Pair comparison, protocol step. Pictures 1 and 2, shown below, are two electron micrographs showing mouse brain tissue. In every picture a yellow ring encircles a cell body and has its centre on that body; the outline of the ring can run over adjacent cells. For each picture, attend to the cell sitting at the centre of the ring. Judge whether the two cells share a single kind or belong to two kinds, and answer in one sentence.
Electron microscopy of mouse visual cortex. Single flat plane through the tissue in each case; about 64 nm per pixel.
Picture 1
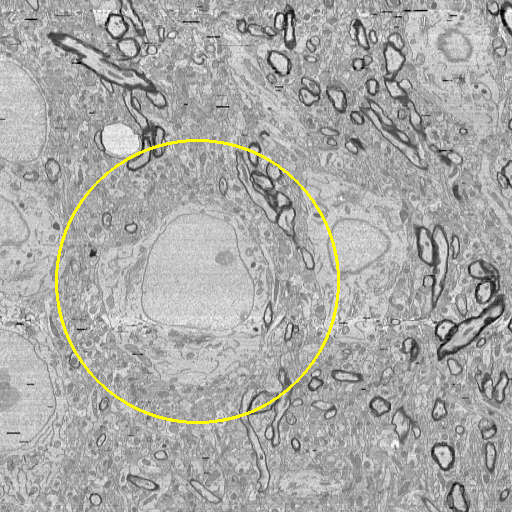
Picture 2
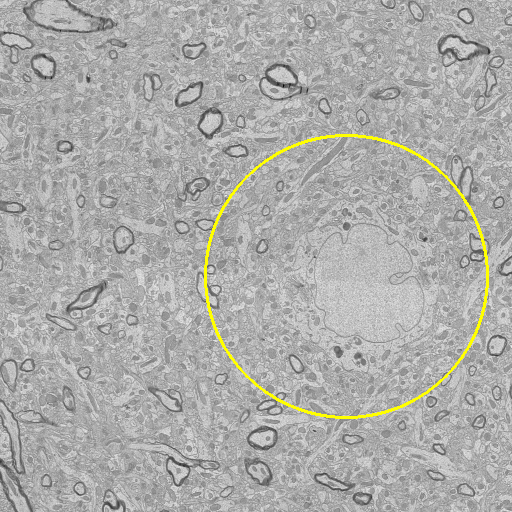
The two cells at the ring centres in Picture 1 and Picture 2 share a single kind.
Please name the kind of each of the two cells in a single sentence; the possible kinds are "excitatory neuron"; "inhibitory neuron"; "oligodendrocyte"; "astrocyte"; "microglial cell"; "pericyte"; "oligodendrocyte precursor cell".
The second cell is an excitatory neuron, just as the first is.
